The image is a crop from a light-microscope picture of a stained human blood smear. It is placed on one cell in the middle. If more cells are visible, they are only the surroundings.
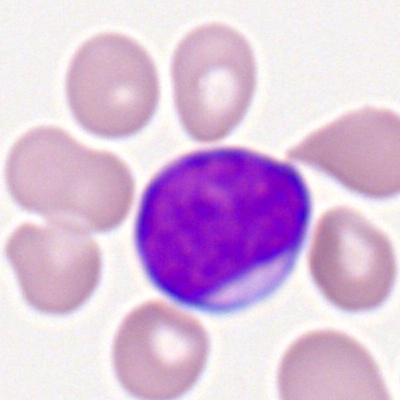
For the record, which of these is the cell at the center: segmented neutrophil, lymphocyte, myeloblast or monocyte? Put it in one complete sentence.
In the centre of this crop there is a myeloblast.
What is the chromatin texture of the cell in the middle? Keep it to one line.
Just so you know, its chromatin is coarsely clumped.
